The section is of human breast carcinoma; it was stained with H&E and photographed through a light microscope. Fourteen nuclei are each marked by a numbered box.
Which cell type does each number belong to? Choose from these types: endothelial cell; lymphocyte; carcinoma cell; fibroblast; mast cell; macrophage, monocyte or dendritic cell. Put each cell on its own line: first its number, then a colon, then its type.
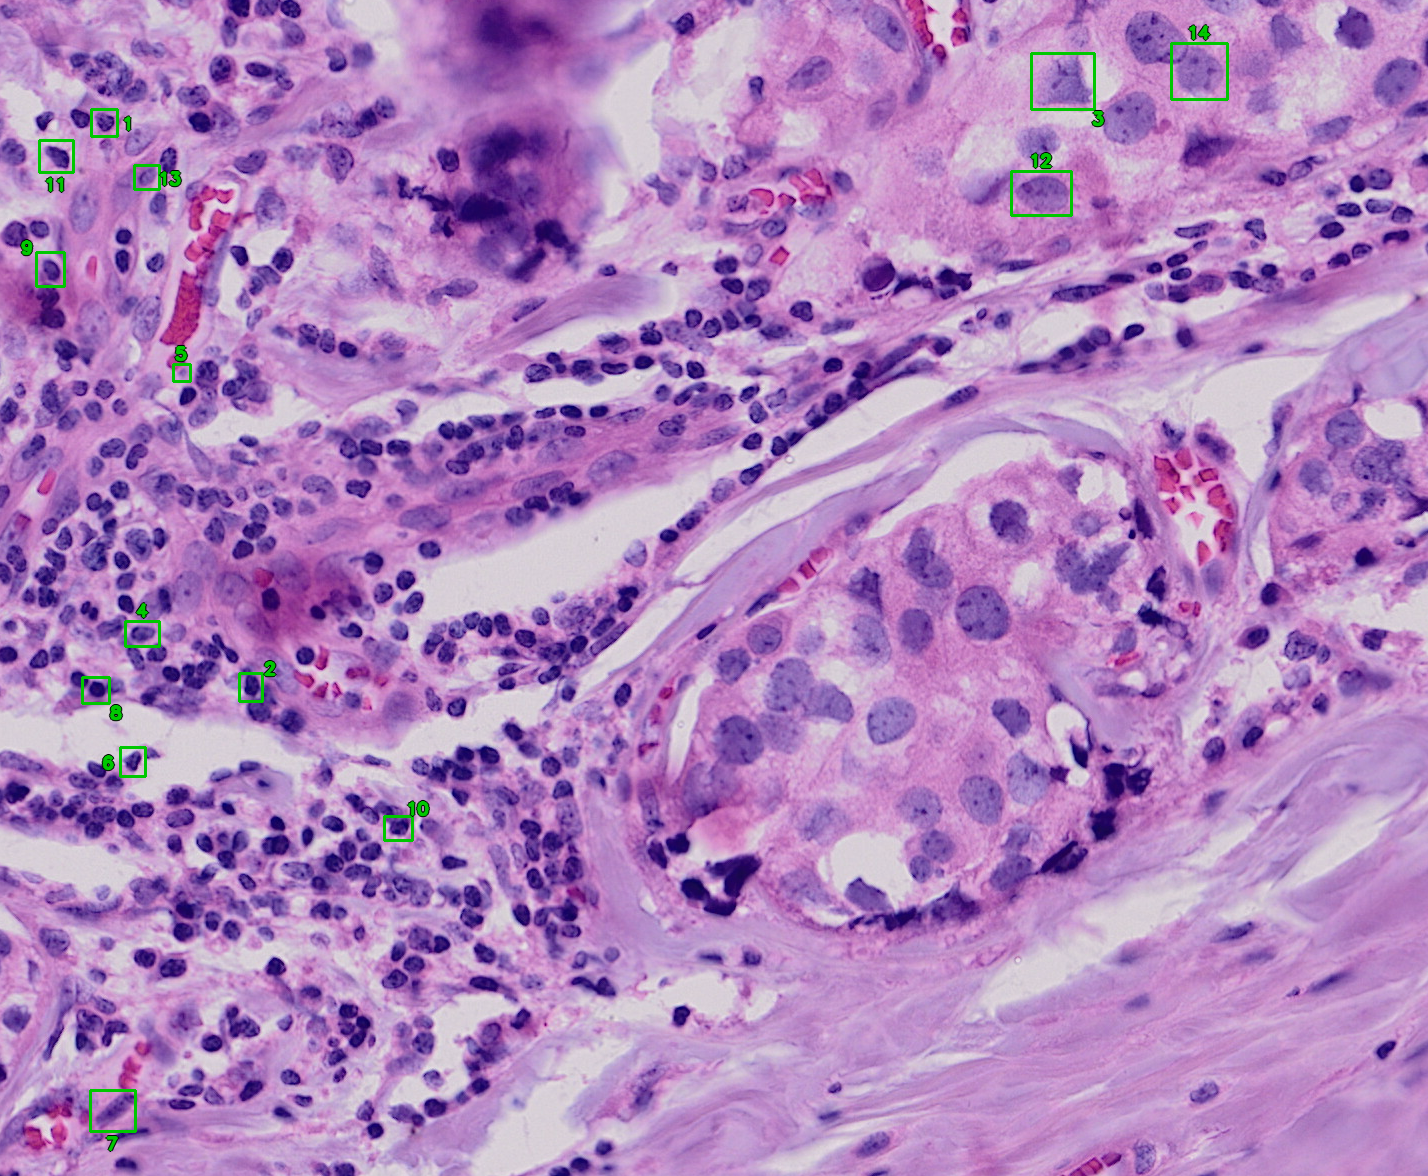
1: lymphocyte
2: lymphocyte
3: carcinoma cell
4: lymphocyte
5: endothelial cell
6: lymphocyte
7: endothelial cell
8: lymphocyte
9: lymphocyte
10: lymphocyte
11: lymphocyte
12: carcinoma cell
13: endothelial cell
14: carcinoma cell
